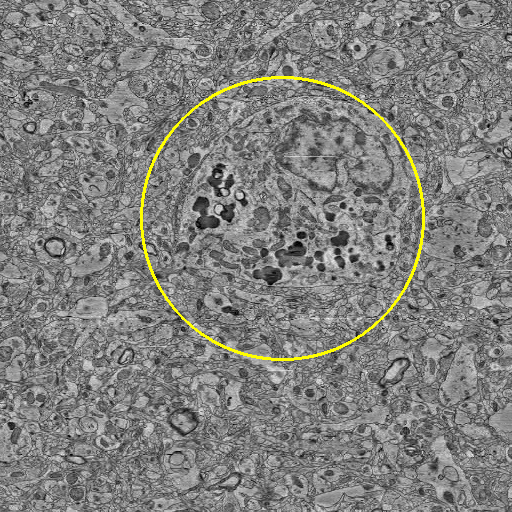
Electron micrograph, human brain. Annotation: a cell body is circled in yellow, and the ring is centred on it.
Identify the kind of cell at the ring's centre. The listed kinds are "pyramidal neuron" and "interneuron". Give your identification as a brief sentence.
The circled cell body is that of an interneuron.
